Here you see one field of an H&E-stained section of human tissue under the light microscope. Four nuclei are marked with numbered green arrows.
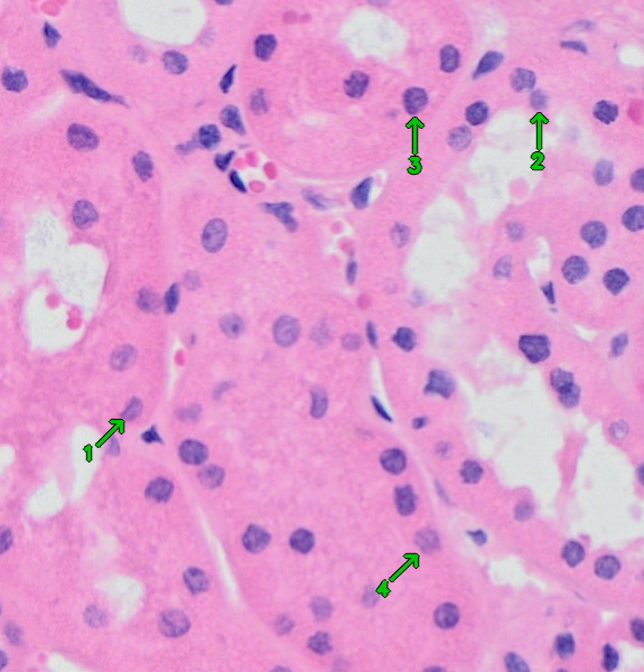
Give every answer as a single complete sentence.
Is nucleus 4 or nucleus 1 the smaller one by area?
It is nucleus 1; nucleus 4 has about 2 times its area.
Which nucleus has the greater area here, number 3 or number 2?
Of the two, number 3 is bigger and takes up about 2 times the area of number 2.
